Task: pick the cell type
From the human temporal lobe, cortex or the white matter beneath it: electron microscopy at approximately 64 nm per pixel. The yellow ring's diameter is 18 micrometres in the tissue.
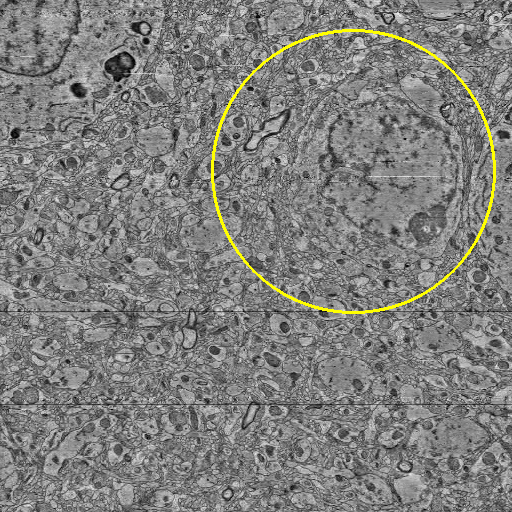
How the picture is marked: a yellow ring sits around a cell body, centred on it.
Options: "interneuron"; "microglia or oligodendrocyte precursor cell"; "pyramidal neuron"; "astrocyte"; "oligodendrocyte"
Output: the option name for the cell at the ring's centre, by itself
interneuron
